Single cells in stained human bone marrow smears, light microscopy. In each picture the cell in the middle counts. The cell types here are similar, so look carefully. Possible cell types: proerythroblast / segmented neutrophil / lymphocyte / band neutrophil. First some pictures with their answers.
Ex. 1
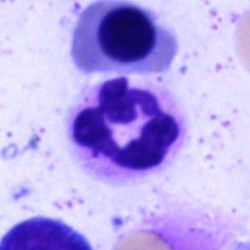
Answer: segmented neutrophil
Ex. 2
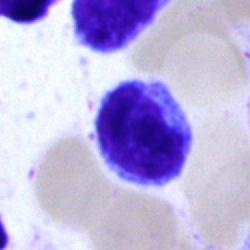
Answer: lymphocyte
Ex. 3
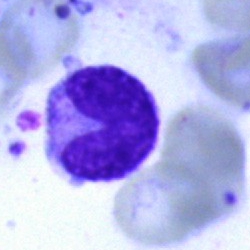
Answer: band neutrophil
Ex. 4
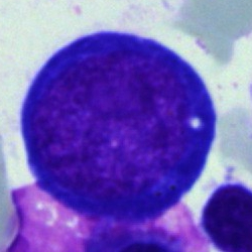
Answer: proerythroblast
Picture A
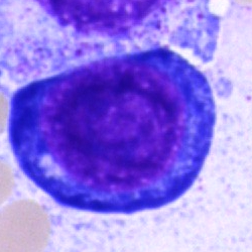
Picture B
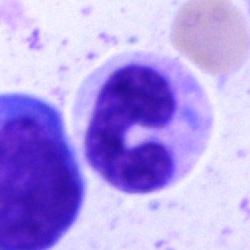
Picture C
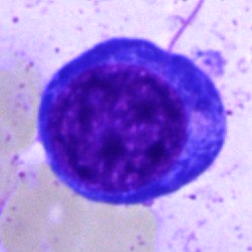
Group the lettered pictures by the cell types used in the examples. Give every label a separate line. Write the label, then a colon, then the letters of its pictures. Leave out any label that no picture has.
proerythroblast: A, C
band neutrophil: B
